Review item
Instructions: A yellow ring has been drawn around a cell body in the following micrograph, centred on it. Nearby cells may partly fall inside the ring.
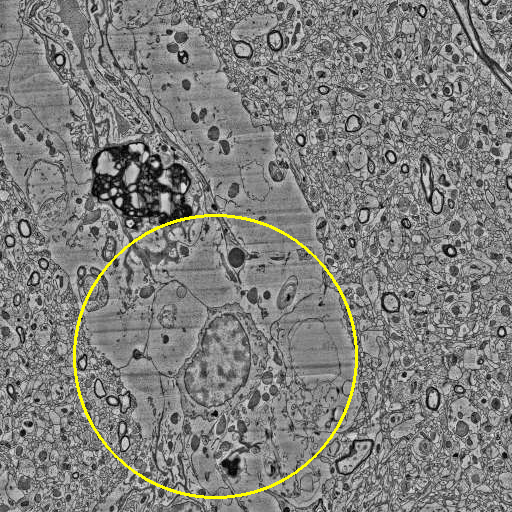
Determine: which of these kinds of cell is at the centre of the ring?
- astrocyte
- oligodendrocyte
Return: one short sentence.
The cell body in the middle of the ring is that of an oligodendrocyte.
